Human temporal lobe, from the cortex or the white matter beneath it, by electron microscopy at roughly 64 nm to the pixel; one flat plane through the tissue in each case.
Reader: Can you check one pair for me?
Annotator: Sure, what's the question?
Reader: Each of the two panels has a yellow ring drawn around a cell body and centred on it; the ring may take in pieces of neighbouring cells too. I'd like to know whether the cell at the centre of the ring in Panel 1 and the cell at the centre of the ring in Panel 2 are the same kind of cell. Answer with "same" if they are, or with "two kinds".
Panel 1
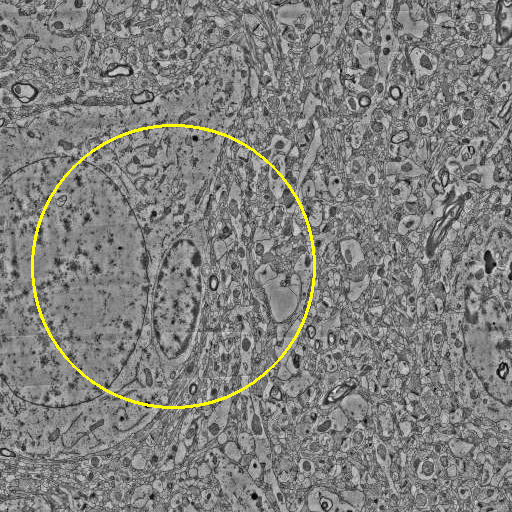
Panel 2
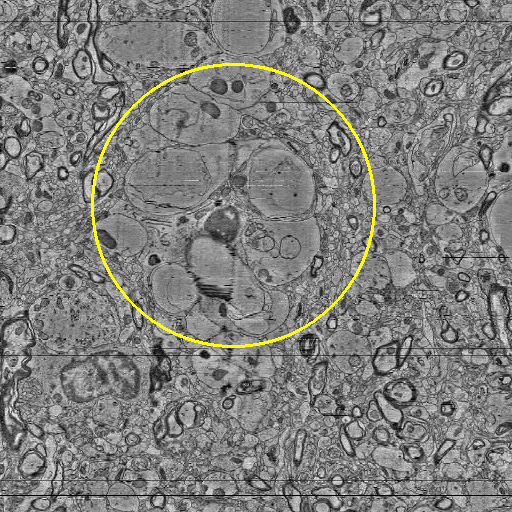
same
